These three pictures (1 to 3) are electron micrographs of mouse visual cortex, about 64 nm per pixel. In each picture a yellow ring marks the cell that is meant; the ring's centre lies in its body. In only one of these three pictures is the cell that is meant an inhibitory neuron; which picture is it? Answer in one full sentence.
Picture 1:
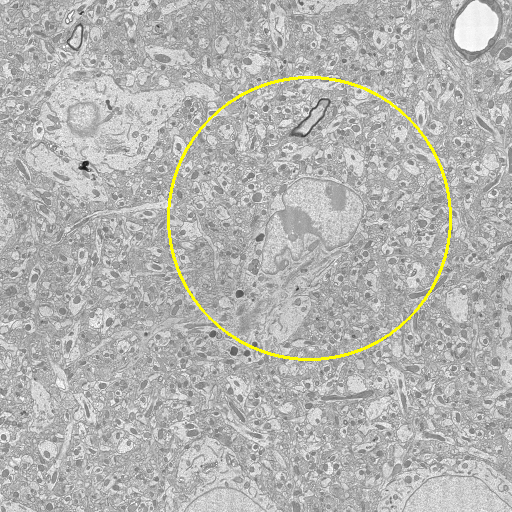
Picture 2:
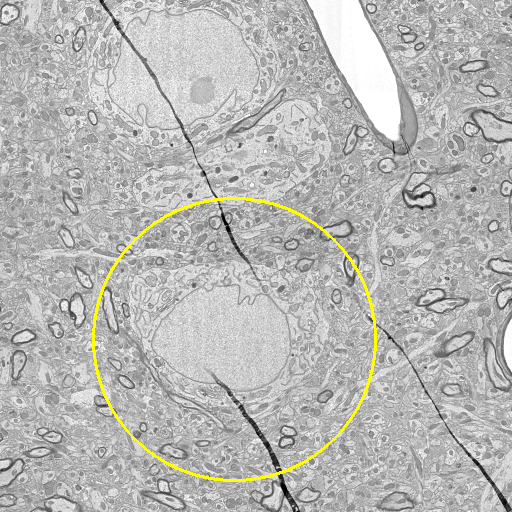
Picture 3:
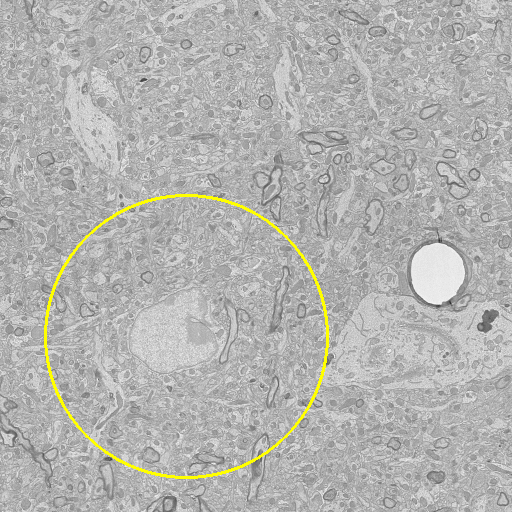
It is picture 2 that shows the inhibitory neuron.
